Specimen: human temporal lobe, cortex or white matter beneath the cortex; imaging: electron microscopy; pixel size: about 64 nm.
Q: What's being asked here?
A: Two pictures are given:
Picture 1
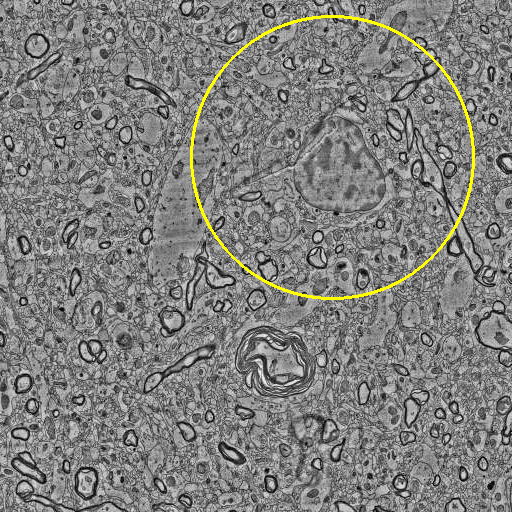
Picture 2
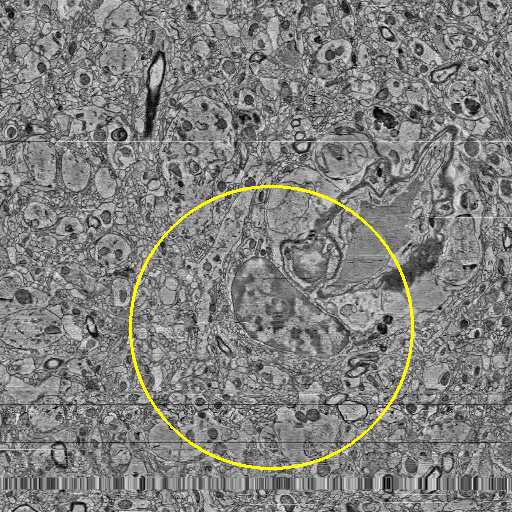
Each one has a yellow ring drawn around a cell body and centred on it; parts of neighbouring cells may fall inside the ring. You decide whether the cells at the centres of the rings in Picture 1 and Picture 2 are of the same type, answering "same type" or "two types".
same type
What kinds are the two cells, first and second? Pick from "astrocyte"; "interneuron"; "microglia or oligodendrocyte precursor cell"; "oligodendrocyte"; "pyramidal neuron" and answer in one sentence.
The first and the second cell are each a microglial cell or oligodendrocyte precursor cell.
